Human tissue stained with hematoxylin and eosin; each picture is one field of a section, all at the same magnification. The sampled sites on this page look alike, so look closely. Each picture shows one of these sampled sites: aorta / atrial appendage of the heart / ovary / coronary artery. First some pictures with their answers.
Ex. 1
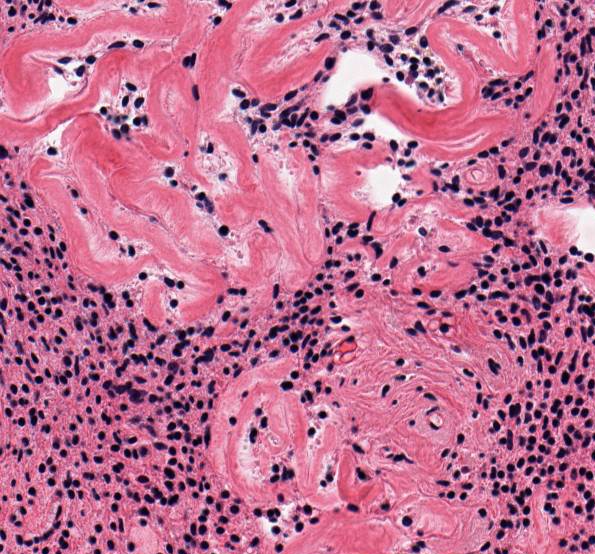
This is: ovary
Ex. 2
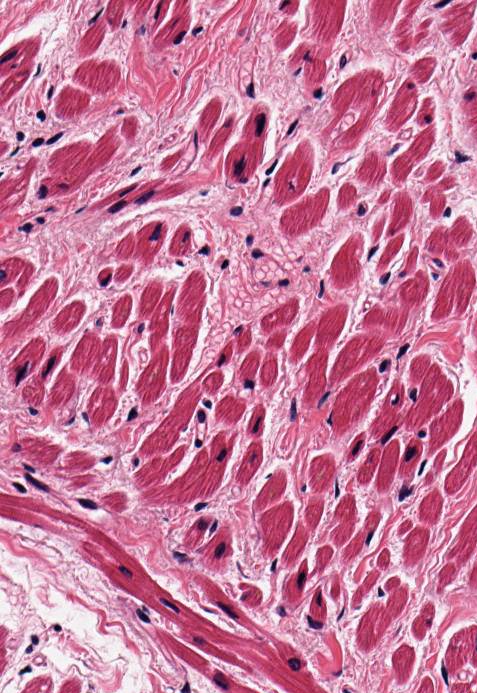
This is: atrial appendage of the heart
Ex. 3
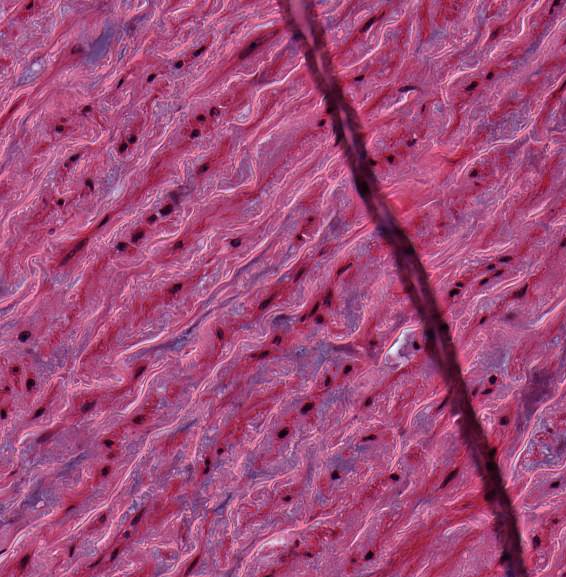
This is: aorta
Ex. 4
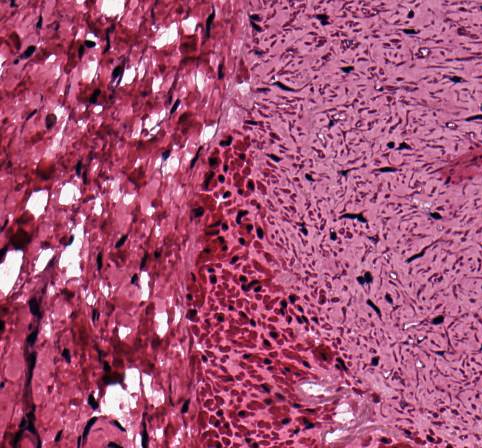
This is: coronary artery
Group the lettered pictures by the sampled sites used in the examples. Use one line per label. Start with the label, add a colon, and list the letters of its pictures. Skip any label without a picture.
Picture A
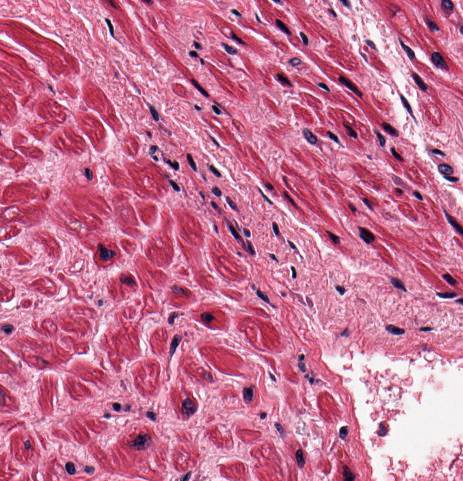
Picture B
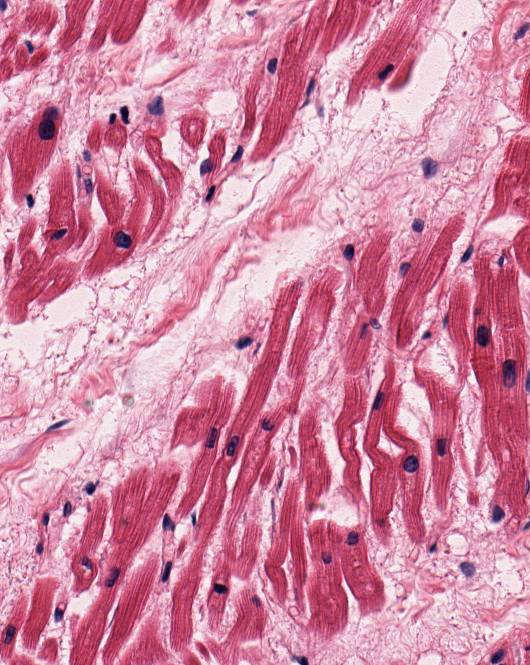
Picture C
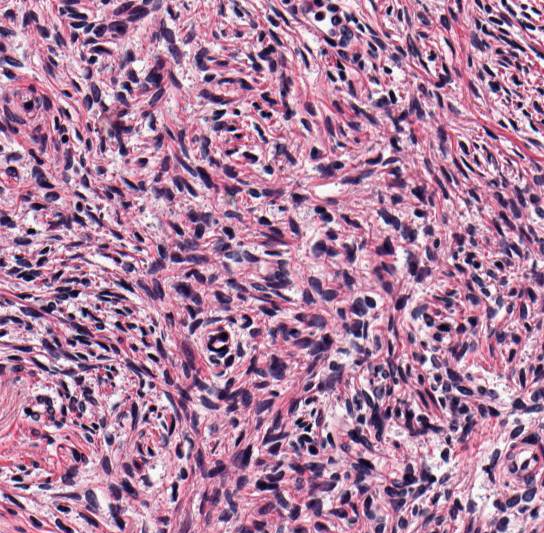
atrial appendage of the heart: A, B
ovary: C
